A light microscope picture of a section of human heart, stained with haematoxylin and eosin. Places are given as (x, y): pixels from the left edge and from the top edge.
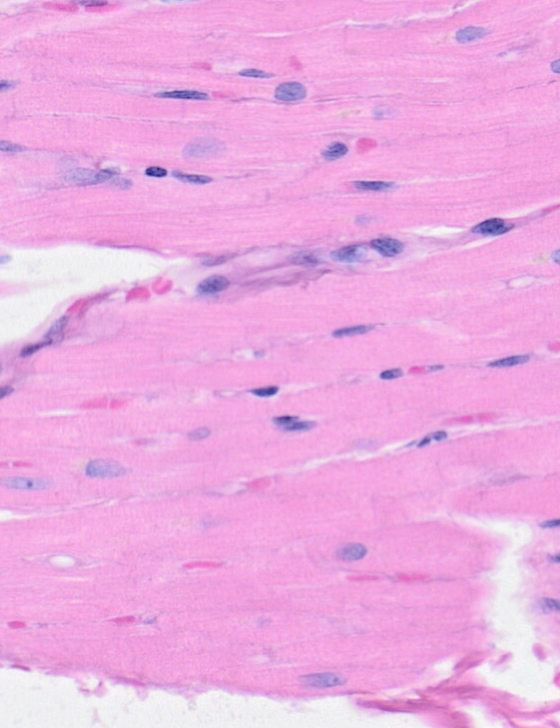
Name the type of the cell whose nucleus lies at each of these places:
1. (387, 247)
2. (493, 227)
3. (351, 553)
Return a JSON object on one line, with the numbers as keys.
{"1": "endothelial cell", "2": "endothelial cell", "3": "cardiomyocyte"}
